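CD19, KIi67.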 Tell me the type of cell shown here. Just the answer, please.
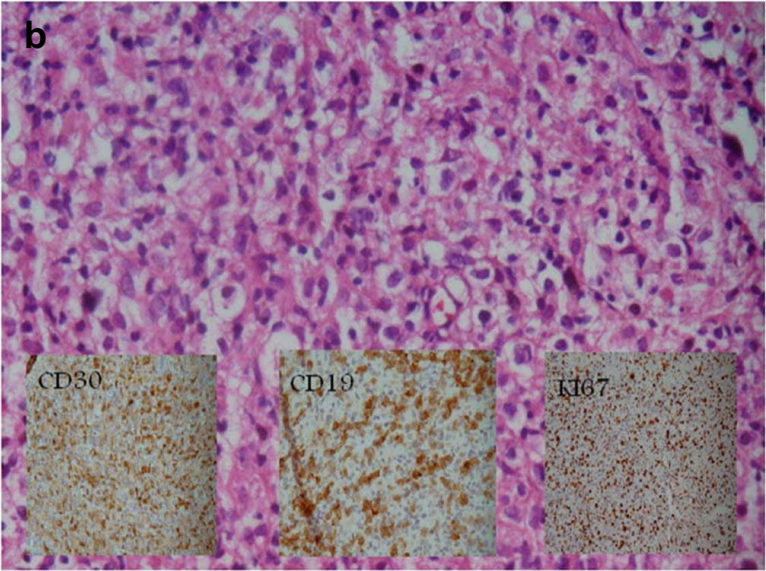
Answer: large cells with lobular and nucleolated nuclei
